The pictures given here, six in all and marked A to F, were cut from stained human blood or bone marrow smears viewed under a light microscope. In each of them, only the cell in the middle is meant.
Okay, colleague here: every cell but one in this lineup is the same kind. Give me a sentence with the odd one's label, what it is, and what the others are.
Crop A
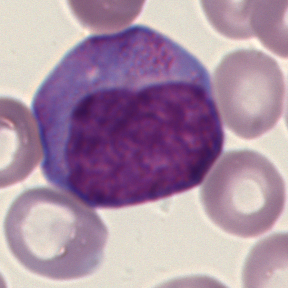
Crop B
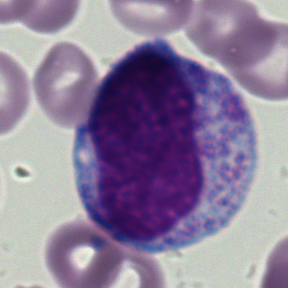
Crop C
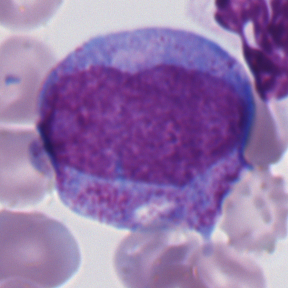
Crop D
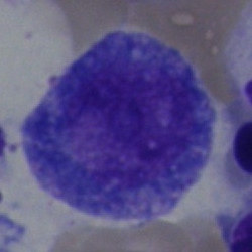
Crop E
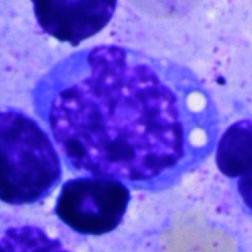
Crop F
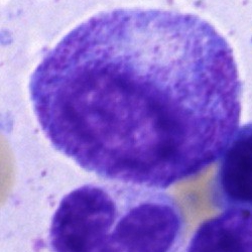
Crop E differs from its companions, showing a monocyte where they show promyelocytes.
